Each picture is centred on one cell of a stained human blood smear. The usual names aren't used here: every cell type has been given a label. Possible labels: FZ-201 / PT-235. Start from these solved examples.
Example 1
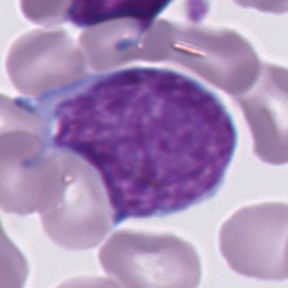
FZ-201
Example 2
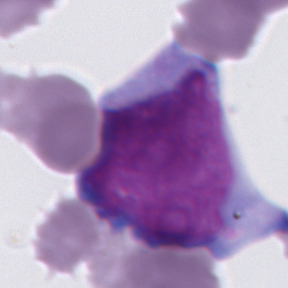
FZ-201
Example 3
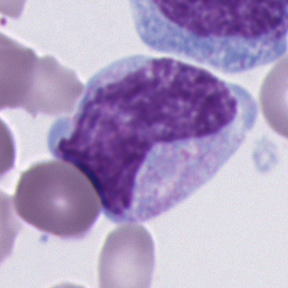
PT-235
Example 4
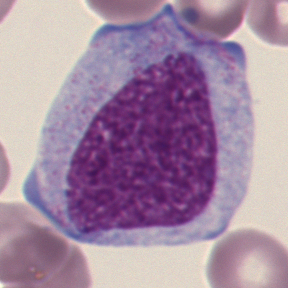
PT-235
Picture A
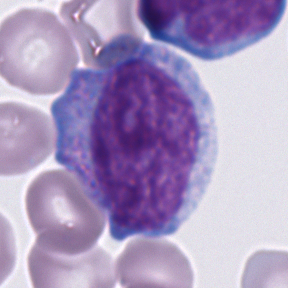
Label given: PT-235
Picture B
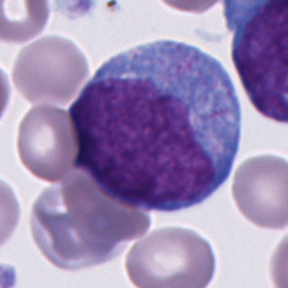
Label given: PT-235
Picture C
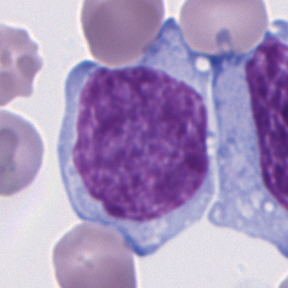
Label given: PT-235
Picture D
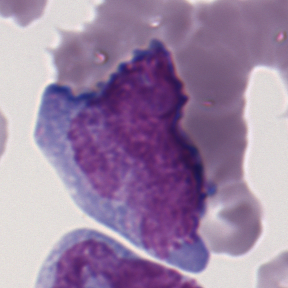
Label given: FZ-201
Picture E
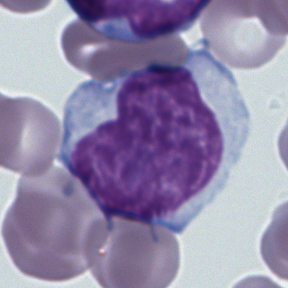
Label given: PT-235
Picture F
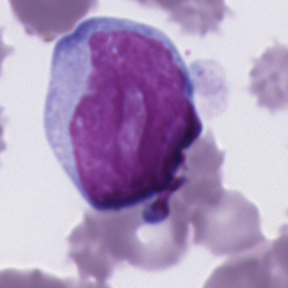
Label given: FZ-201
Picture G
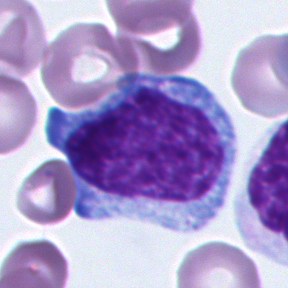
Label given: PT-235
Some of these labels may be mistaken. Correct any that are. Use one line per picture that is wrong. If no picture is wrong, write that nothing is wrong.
C: not PT-235 but FZ-201
E: not PT-235 but FZ-201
